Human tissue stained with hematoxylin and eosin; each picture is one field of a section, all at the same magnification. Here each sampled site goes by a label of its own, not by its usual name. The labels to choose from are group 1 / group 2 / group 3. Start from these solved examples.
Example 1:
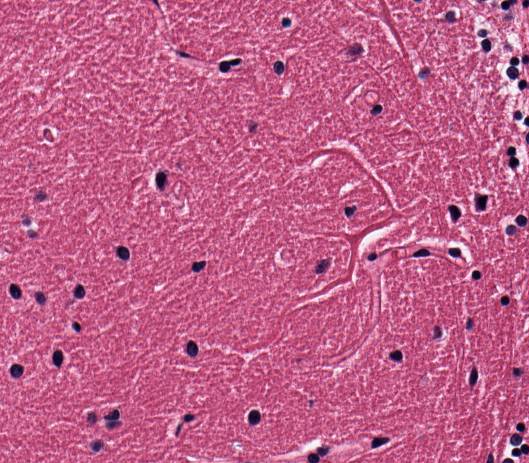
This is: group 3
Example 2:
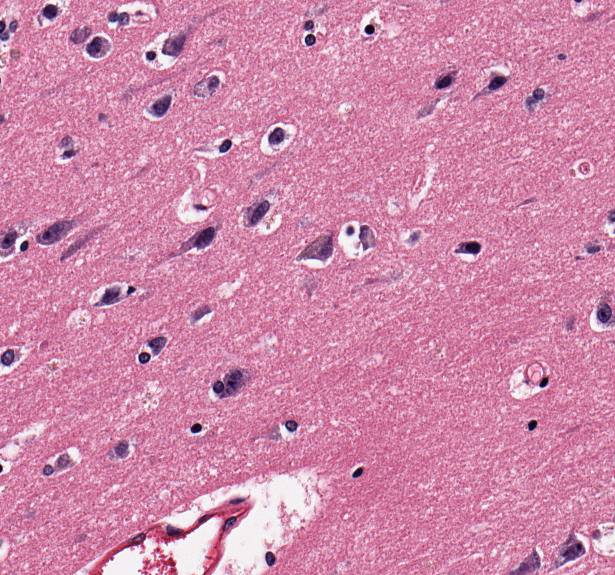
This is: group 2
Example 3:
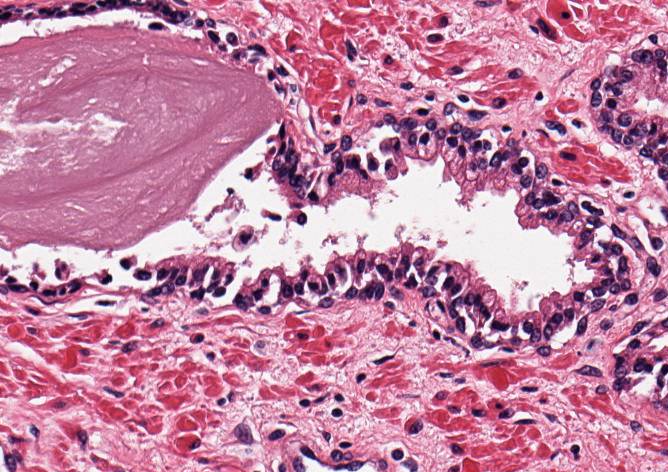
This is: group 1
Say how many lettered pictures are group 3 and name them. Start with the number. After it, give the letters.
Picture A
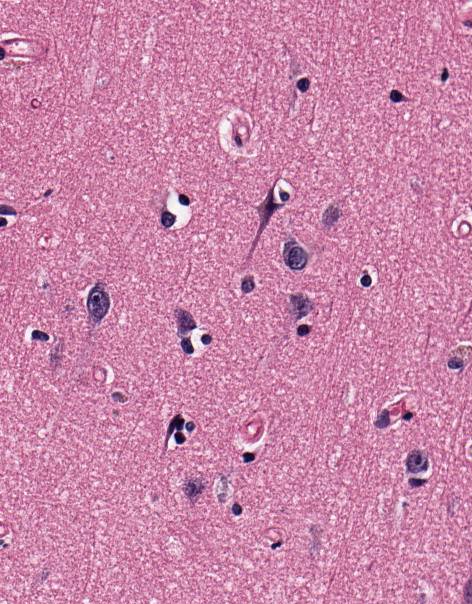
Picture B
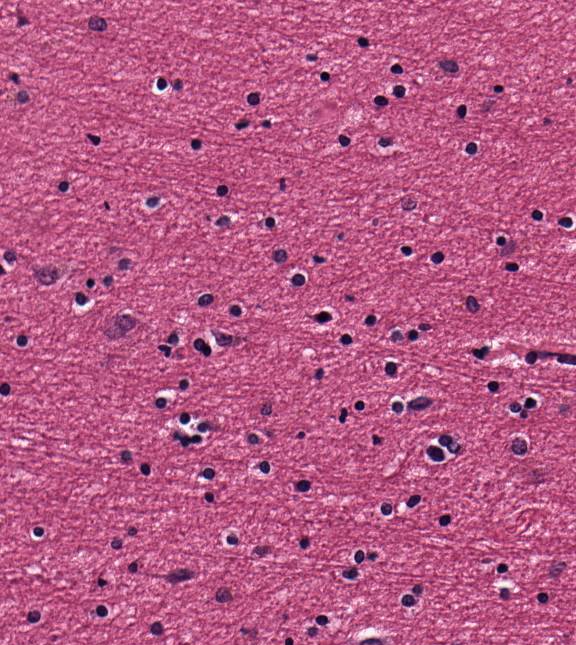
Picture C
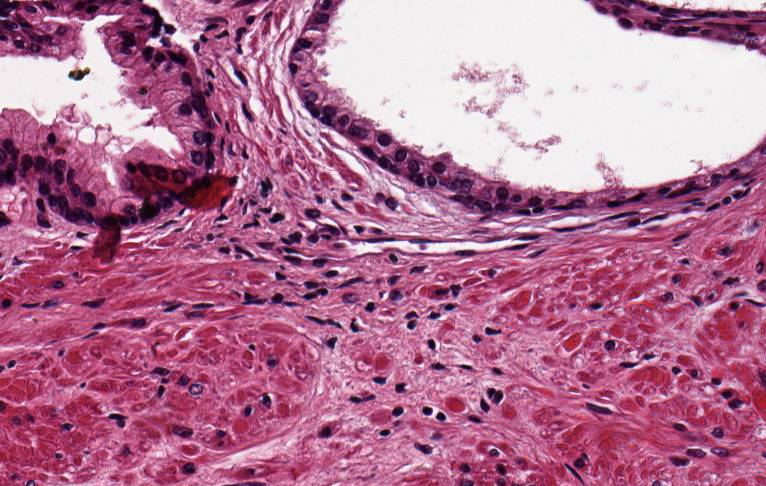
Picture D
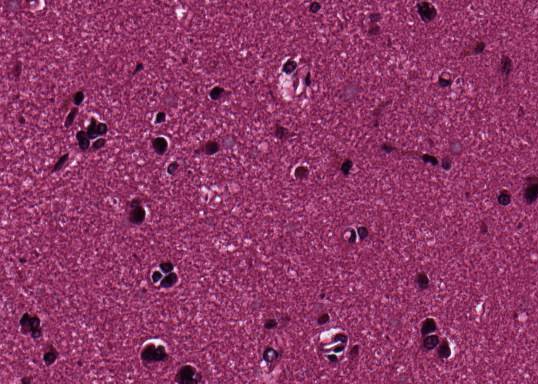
0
